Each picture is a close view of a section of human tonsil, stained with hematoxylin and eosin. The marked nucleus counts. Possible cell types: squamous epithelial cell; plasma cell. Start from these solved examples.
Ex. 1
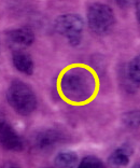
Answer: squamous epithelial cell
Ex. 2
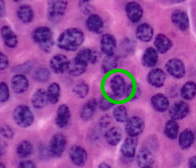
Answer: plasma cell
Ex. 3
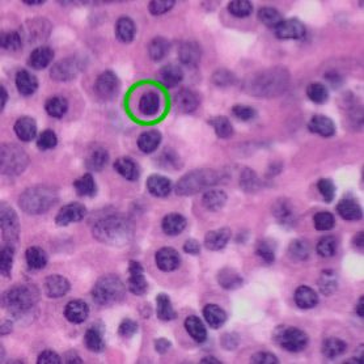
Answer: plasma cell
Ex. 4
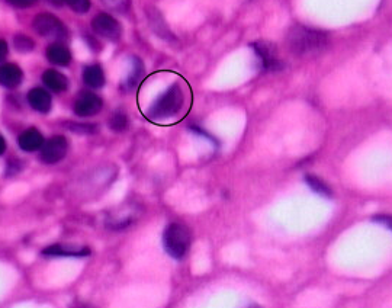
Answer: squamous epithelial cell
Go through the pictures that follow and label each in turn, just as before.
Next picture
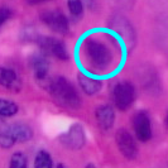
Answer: squamous epithelial cell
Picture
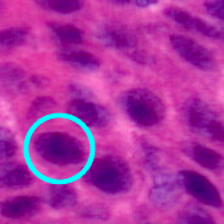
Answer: squamous epithelial cell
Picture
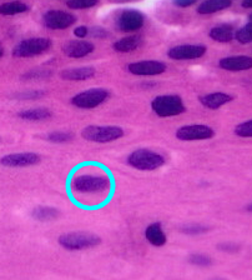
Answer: squamous epithelial cell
